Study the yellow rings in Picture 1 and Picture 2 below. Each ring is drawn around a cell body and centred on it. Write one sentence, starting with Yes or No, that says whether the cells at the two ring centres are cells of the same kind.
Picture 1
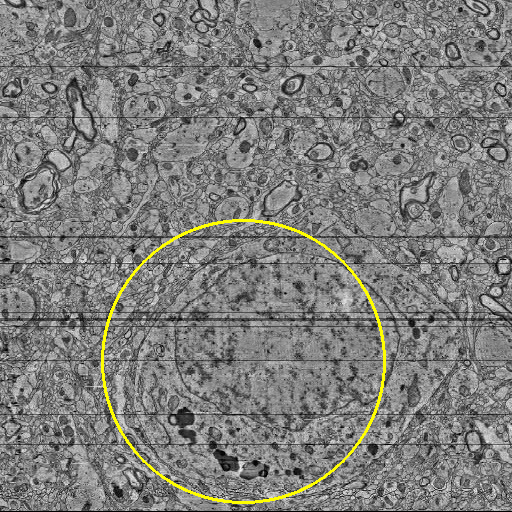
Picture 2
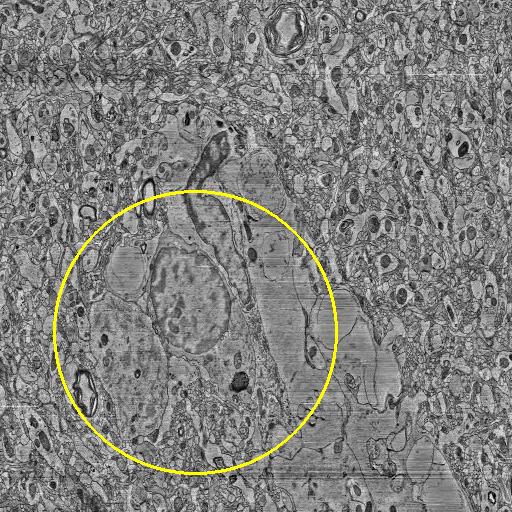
No, the cells at the ring centres are of two kinds.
